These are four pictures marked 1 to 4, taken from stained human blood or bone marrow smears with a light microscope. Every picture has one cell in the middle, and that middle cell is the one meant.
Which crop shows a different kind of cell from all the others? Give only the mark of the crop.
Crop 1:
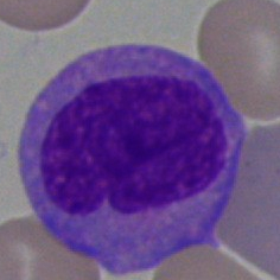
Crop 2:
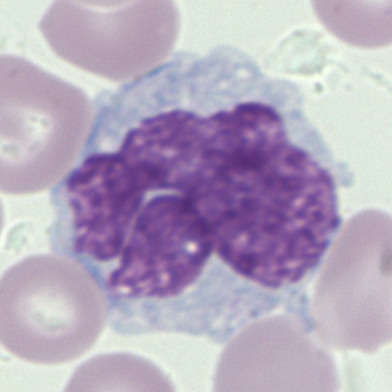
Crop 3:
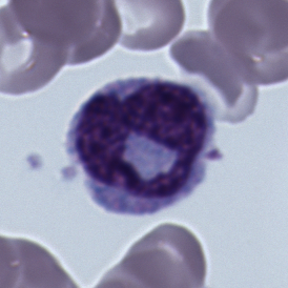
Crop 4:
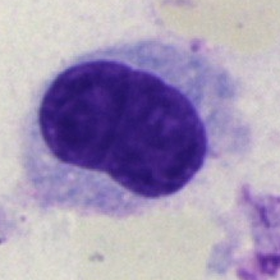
4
